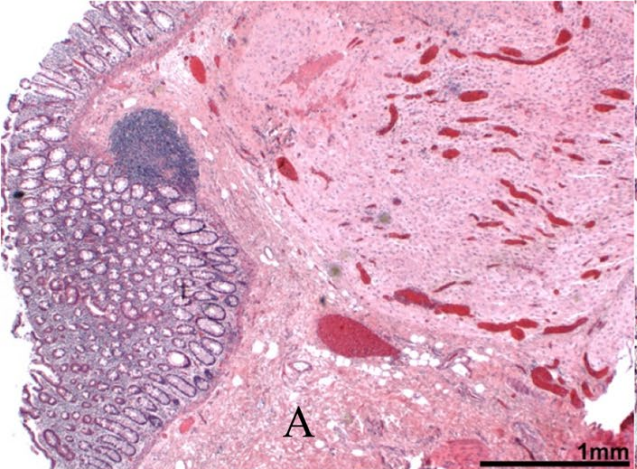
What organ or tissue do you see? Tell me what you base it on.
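Mucosa along the left edge has densely packed straight tubular crypts. A lymphoid follicle sits at the base of the mucosa. Pink stromal tissue with many congested vessels lies beneath the mucosa.
Conclusion: large bowel wall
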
